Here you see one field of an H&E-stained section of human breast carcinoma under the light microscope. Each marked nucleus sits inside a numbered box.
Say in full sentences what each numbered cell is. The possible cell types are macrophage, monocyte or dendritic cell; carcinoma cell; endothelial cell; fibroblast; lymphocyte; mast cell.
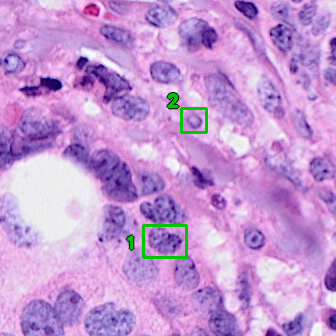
Cell 1 is a carcinoma cell and cell 2 is a macrophage, monocyte or dendritic cell.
